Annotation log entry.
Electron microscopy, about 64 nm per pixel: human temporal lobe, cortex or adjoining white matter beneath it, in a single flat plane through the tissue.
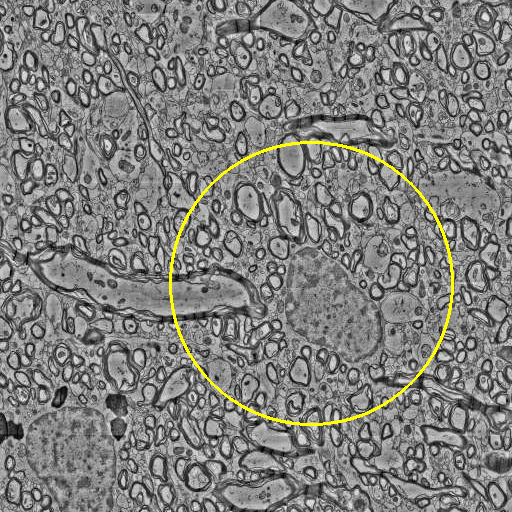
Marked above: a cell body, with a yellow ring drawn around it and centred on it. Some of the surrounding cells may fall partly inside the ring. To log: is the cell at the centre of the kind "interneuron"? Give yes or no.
No, the cell at the centre is of another kind.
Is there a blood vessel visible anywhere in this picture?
No, no blood vessel can be seen.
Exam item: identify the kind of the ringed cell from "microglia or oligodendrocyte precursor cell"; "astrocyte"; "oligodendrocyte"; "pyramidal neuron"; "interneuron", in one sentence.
The ringed cell in this picture is, instead, an oligodendrocyte.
